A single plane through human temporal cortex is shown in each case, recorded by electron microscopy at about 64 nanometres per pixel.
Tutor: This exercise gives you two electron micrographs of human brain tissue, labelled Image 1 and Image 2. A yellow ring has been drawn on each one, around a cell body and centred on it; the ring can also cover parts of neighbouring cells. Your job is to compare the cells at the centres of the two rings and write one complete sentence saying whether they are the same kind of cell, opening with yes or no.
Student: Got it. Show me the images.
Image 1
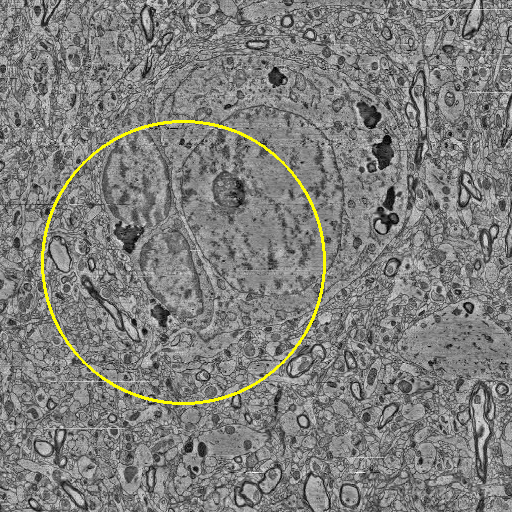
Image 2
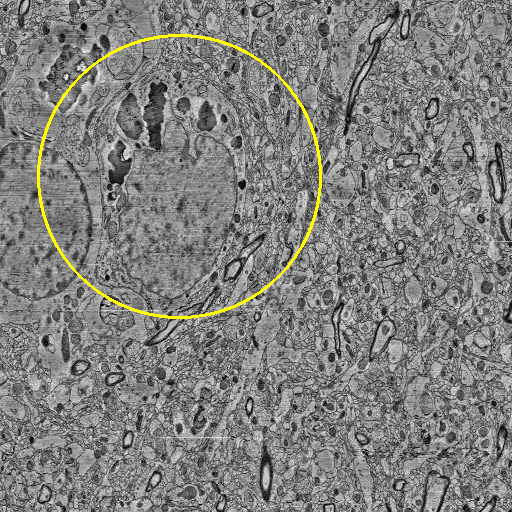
No, the two cells belong to two kinds.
